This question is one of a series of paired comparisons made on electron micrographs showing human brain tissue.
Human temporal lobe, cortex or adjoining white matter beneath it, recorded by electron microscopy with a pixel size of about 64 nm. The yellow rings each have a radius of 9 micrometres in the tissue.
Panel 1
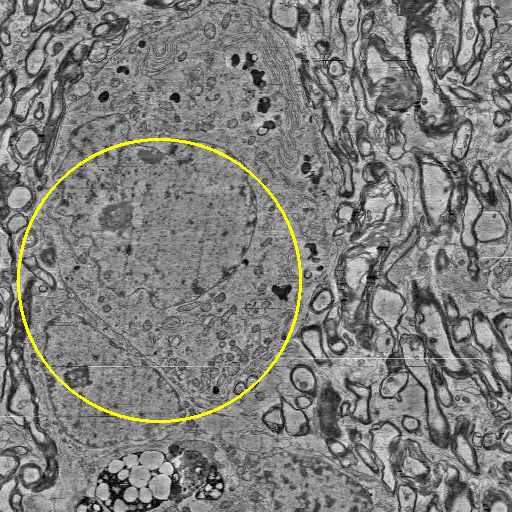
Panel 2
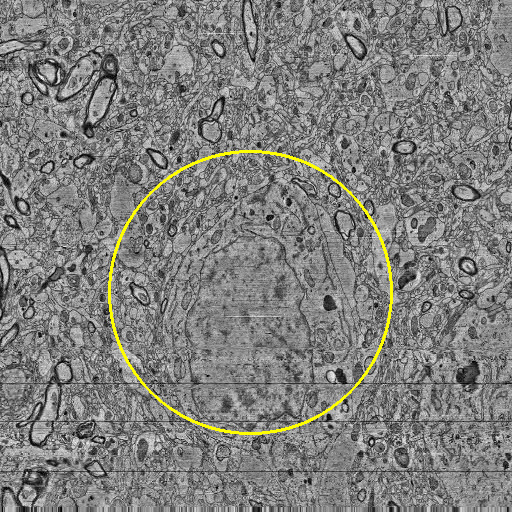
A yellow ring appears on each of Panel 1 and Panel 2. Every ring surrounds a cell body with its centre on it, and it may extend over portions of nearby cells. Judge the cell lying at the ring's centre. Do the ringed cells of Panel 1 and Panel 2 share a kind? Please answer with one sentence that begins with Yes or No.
Yes, the ring-centre cell in Panel 1 and the one in Panel 2 are of one kind.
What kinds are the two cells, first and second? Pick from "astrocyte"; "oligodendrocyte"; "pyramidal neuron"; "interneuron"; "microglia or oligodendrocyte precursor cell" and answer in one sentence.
Both rings mark an interneuron, one in each picture.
